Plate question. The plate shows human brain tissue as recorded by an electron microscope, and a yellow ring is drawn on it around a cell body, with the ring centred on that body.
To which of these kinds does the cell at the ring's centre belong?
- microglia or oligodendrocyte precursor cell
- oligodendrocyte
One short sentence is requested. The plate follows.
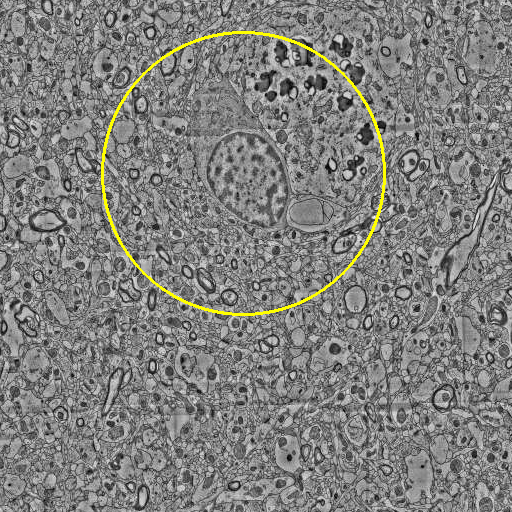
The cell at the ring's centre is an oligodendrocyte.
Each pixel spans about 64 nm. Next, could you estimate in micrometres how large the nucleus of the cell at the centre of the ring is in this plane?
The nucleus is approximately 5 micrometers across in this plane.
